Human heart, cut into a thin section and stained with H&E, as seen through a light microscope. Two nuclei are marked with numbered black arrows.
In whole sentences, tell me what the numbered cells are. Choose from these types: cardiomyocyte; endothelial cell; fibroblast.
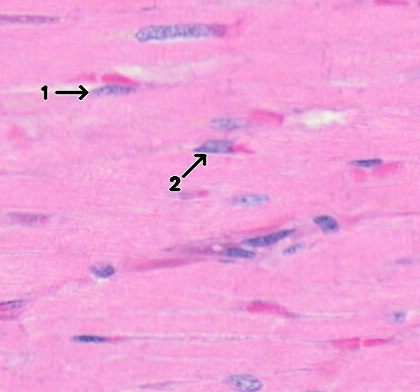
Cell 1 is a fibroblast. Cell 2 is an endothelial cell.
